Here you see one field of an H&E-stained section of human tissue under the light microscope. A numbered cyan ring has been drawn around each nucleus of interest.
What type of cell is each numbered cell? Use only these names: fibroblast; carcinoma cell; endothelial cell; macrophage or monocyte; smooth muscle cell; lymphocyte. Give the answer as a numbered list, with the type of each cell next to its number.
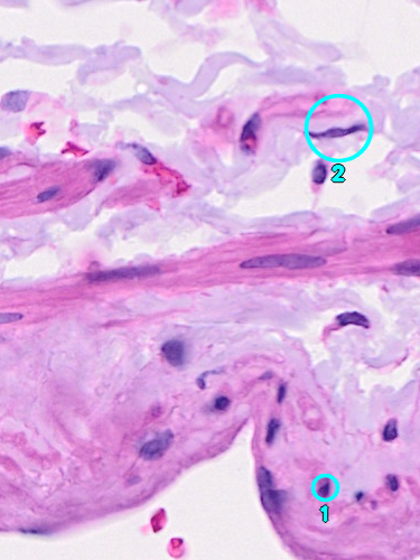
1. smooth muscle cell
2. fibroblast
